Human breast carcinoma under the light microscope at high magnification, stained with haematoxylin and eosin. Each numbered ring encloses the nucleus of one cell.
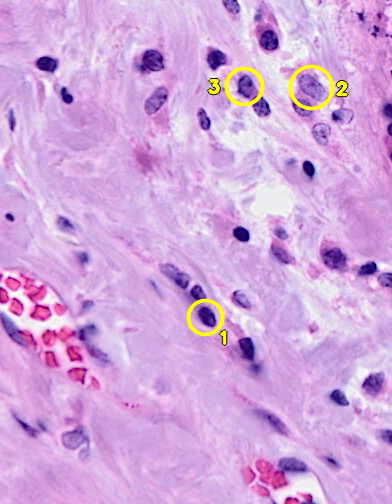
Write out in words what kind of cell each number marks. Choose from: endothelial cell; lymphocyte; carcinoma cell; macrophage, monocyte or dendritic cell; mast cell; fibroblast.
Cell 1 is a lymphocyte, cell 2 is a macrophage, monocyte or dendritic cell and cell 3 is a lymphocyte.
